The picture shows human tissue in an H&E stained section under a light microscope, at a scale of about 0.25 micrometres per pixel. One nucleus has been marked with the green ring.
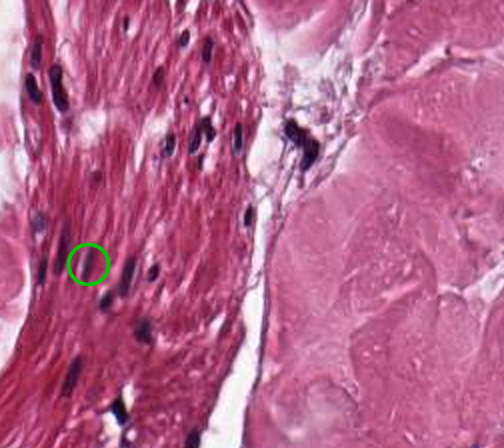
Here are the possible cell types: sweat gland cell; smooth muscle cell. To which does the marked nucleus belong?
smooth muscle cell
